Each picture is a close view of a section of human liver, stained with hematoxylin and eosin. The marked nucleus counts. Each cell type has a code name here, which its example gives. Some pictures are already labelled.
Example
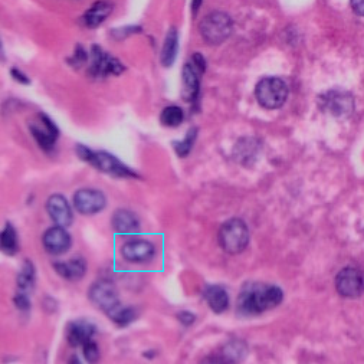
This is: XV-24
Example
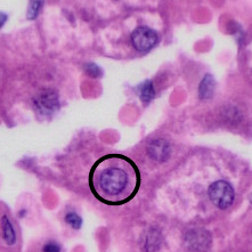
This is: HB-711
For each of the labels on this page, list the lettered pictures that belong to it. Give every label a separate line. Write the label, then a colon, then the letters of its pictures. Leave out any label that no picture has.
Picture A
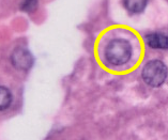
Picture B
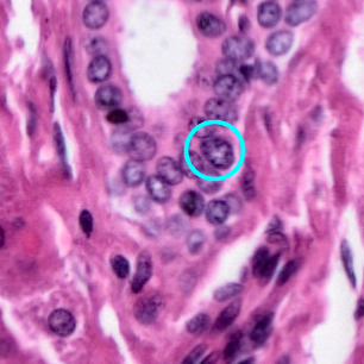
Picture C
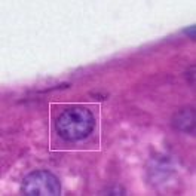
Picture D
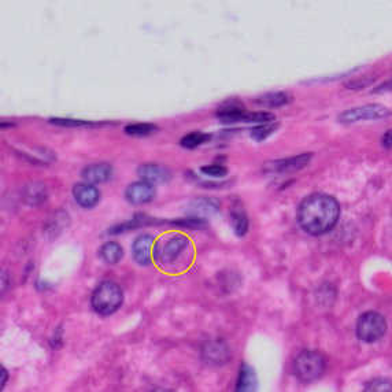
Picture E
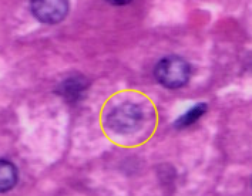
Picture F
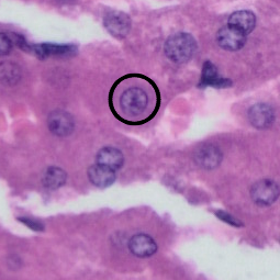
XV-24: B, D
HB-711: A, C, E, F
